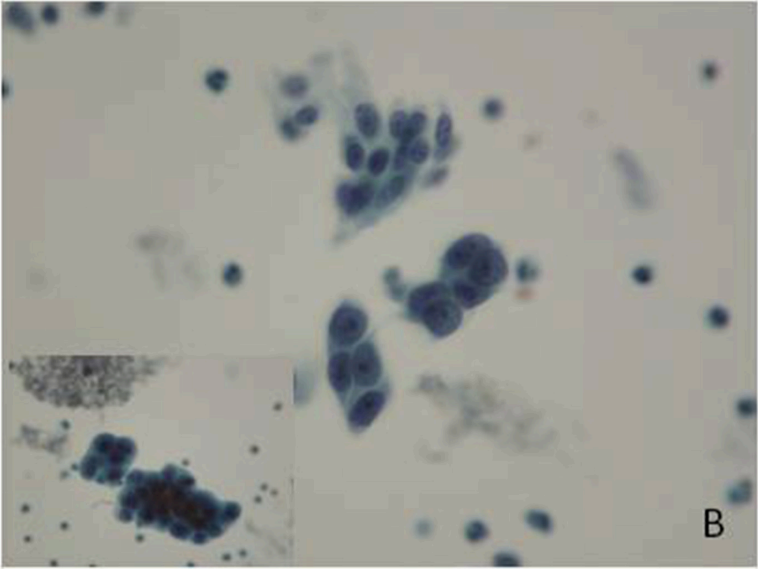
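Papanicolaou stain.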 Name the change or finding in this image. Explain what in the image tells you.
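The nuclei are large relative to the thin rim of pale cytoplasm. On this evidence: hyperchromatic nuclei.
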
